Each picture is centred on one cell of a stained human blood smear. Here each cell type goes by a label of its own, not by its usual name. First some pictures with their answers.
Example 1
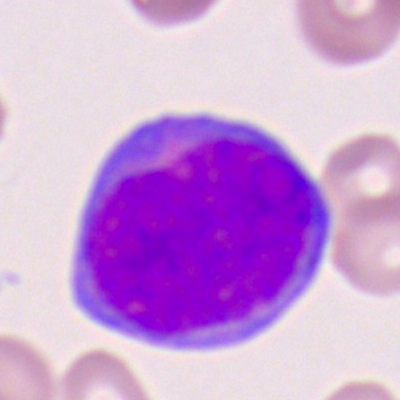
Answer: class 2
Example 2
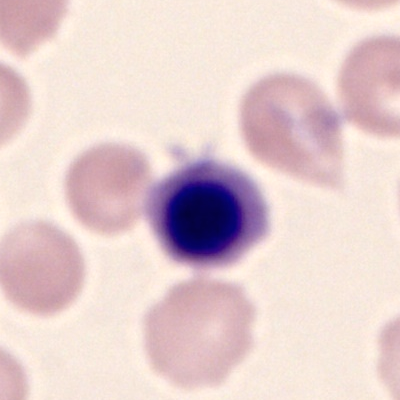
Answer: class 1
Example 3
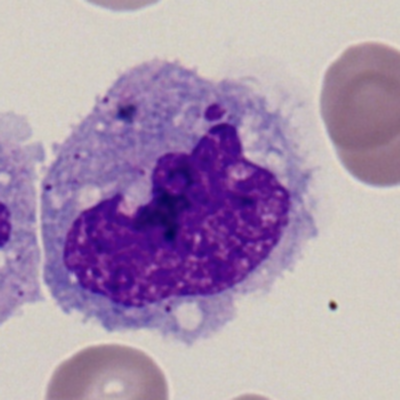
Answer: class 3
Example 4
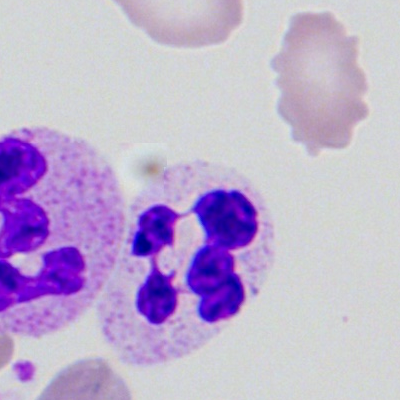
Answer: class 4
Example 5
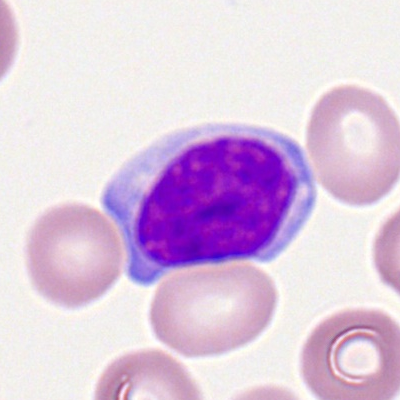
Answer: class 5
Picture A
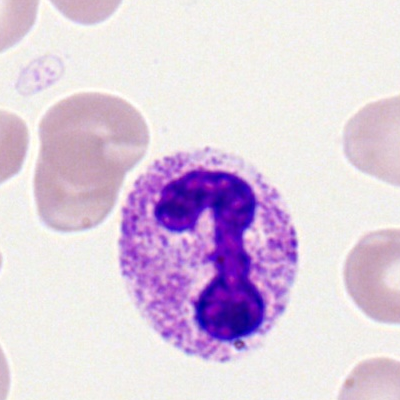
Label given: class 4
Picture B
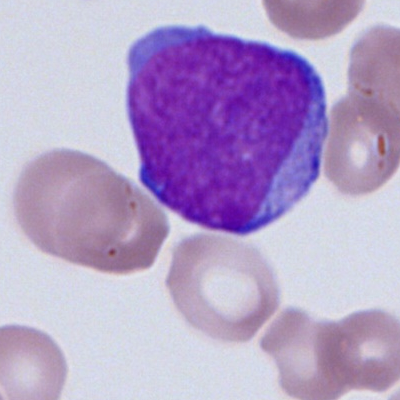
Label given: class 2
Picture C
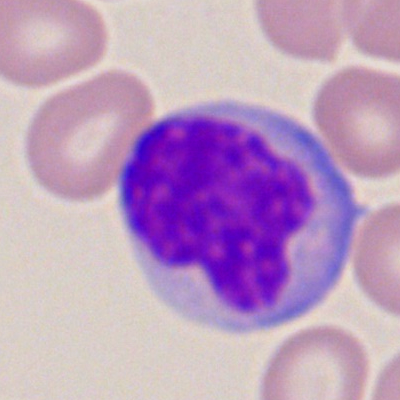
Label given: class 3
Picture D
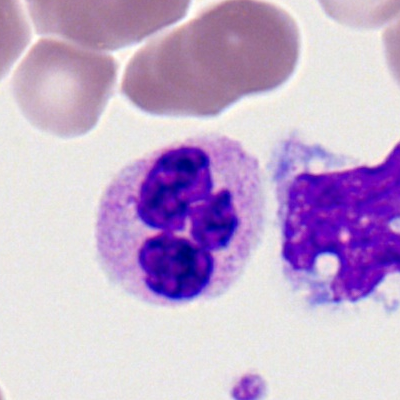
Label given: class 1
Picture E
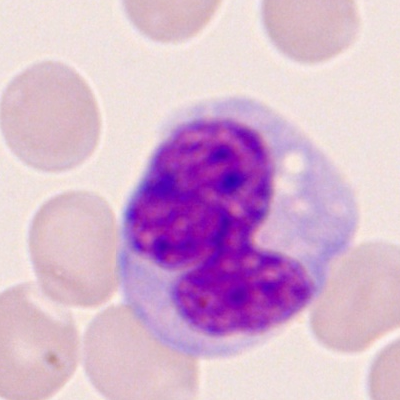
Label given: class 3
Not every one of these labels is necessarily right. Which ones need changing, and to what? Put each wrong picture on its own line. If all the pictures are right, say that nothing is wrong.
D is labelled class 1; correct label: class 4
